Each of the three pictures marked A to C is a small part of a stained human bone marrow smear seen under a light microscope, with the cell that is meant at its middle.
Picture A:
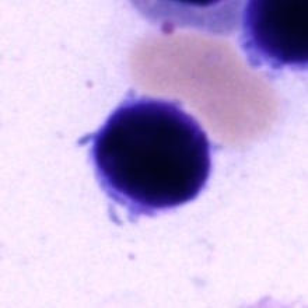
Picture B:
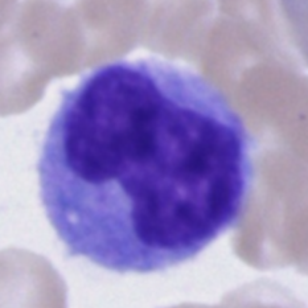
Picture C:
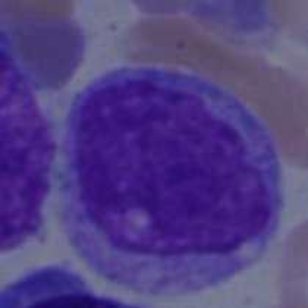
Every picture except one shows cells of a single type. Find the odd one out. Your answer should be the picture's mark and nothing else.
A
